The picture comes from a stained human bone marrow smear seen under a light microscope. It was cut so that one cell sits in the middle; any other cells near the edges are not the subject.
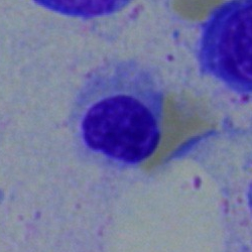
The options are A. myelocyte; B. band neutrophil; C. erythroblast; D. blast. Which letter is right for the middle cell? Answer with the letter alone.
C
